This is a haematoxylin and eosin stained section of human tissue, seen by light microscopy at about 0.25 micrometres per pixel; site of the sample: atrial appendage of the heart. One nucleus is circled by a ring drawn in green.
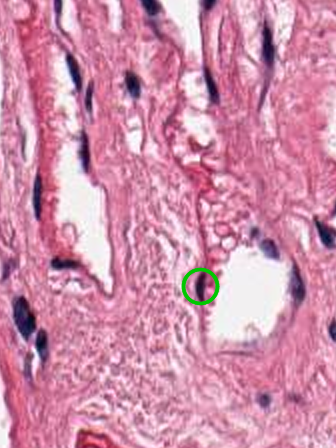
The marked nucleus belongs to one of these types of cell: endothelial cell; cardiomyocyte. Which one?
endothelial cell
